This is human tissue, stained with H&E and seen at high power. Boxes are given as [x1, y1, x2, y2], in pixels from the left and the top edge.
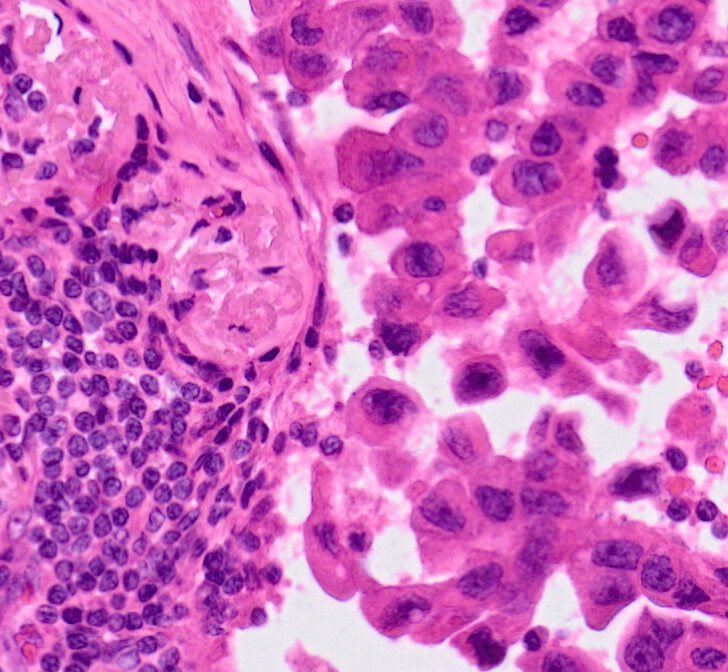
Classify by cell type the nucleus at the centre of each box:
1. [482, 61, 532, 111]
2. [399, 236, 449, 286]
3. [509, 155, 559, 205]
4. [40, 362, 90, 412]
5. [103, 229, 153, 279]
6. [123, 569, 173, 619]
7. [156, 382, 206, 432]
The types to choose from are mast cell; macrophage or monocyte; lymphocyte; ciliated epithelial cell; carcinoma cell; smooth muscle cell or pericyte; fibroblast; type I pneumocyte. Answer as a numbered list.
1. carcinoma cell
2. carcinoma cell
3. carcinoma cell
4. lymphocyte
5. lymphocyte
6. lymphocyte
7. lymphocyte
